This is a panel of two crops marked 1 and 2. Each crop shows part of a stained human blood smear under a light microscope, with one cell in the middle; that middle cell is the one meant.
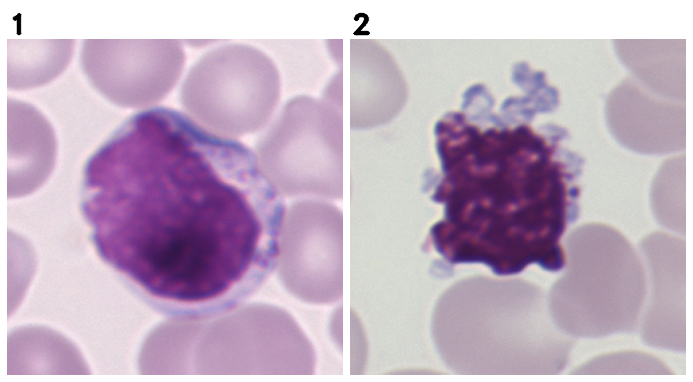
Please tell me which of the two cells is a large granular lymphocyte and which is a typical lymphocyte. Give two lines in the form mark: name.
1: large granular lymphocyte
2: typical lymphocyte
